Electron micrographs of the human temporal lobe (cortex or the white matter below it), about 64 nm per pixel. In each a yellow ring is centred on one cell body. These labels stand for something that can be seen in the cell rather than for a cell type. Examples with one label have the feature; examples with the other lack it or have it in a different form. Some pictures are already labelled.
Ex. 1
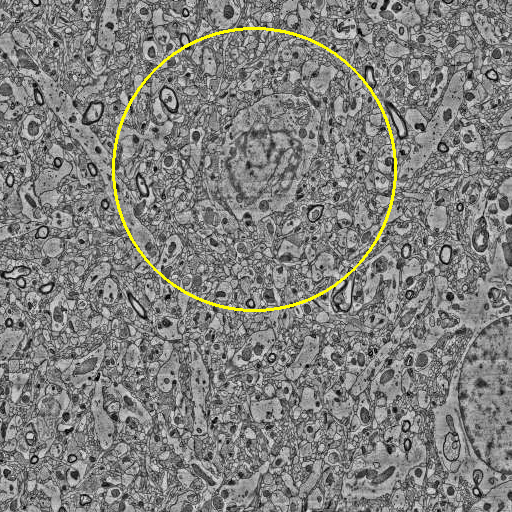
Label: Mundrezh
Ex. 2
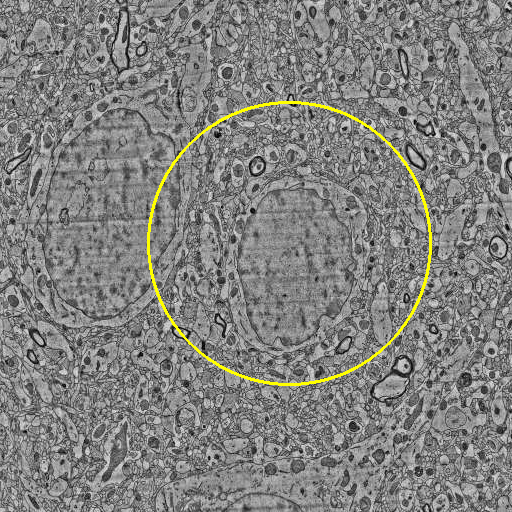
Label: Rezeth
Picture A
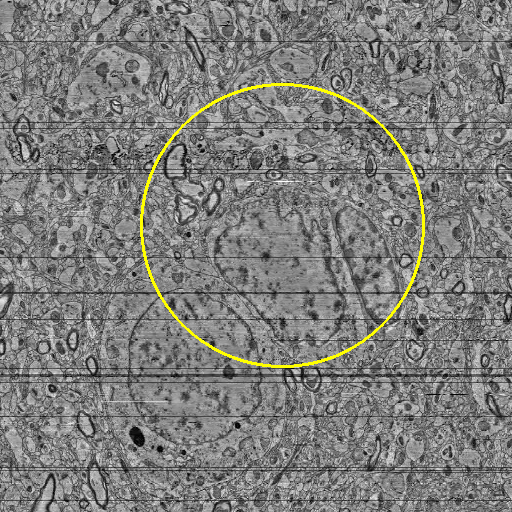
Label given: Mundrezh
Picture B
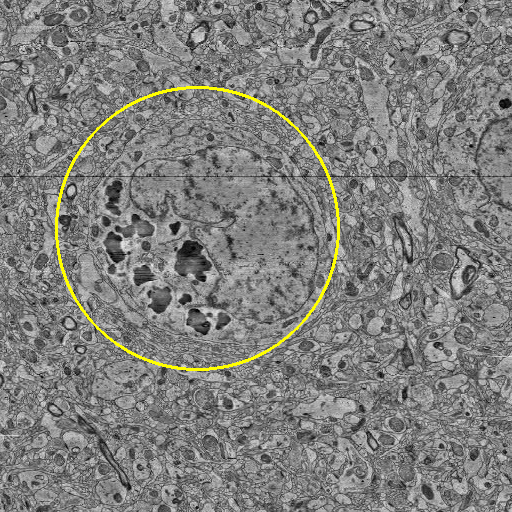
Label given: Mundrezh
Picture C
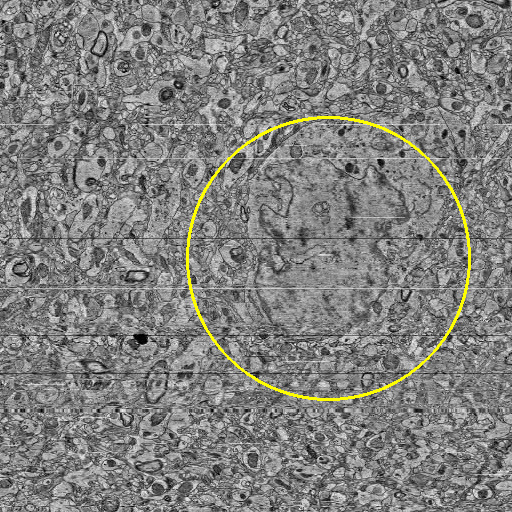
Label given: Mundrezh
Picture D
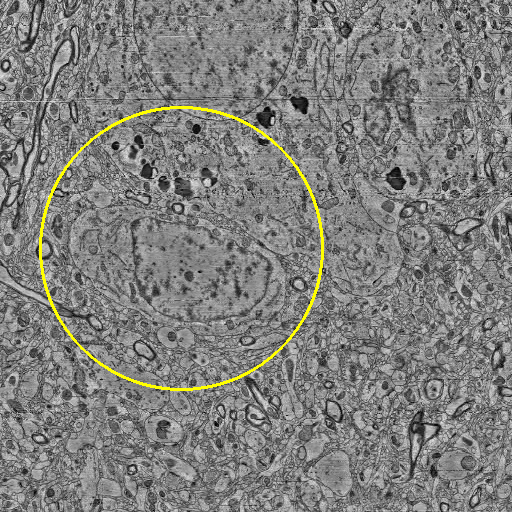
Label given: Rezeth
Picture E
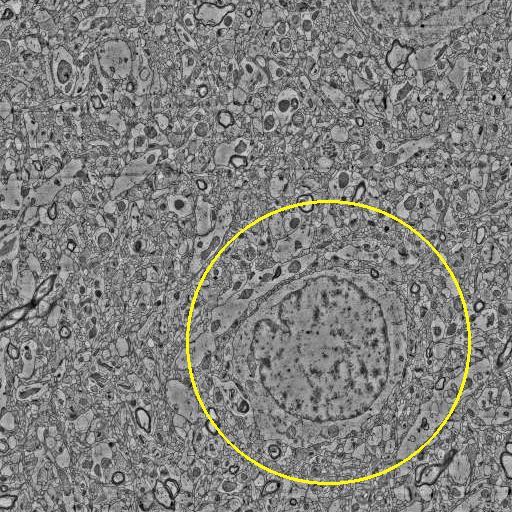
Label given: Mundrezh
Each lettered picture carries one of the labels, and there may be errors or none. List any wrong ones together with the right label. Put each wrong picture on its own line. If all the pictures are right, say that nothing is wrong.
None of the labels needs changing.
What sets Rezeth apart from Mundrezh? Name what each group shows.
In Rezeth: smooth nuclear envelopes without deep folds. In Mundrezh: deeply folded or indented nuclear envelopes.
